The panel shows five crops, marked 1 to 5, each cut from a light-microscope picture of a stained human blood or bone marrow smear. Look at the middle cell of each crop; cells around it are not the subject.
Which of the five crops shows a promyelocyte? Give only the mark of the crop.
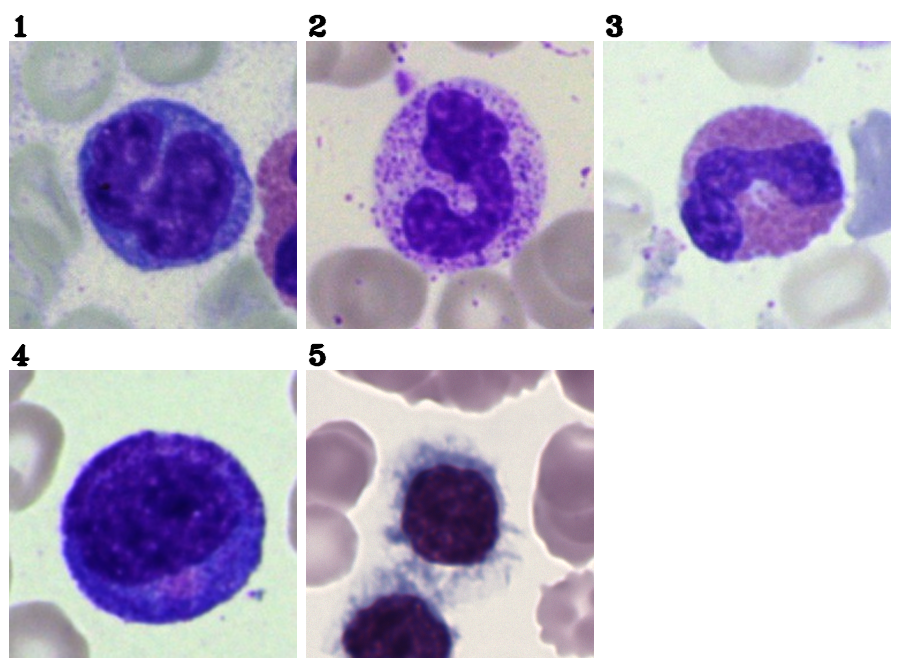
4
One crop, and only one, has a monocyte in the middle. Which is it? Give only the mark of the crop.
1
